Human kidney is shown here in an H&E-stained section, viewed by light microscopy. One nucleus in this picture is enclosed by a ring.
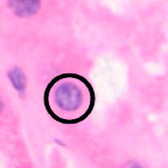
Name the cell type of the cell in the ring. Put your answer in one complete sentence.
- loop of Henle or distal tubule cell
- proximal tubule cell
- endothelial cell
Within this tissue, the cell in the ring is a proximal tubule cell.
